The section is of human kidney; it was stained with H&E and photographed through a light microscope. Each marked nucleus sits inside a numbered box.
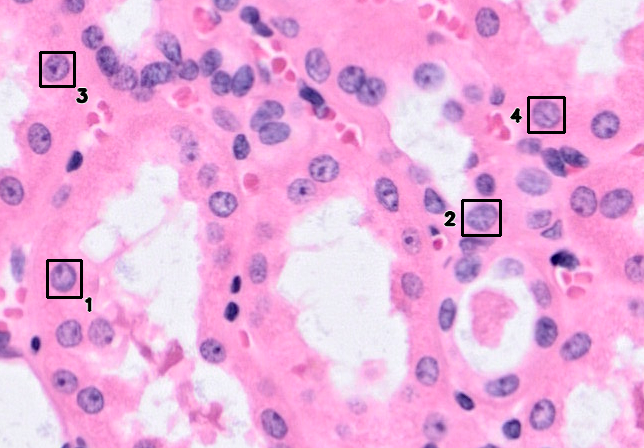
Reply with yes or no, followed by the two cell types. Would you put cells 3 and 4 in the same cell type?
Yes, that is correct, cells 3 and 4 are both proximal tubule cells.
